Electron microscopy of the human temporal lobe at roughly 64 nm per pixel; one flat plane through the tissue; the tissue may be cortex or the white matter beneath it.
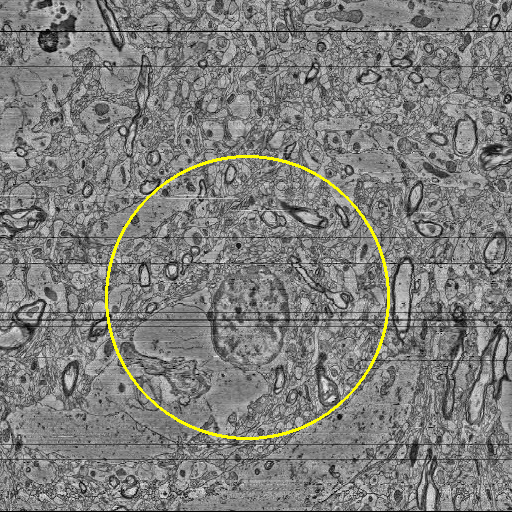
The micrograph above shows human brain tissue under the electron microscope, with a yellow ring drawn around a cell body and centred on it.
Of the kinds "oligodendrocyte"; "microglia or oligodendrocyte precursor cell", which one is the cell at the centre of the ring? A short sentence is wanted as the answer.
The one at the centre of the ring is an oligodendrocyte.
